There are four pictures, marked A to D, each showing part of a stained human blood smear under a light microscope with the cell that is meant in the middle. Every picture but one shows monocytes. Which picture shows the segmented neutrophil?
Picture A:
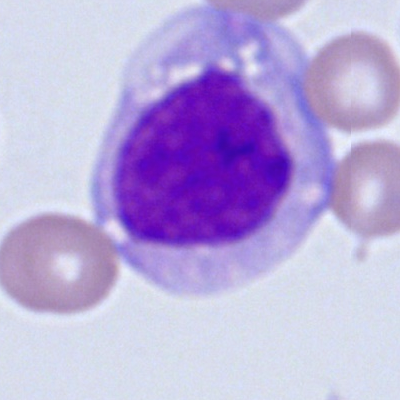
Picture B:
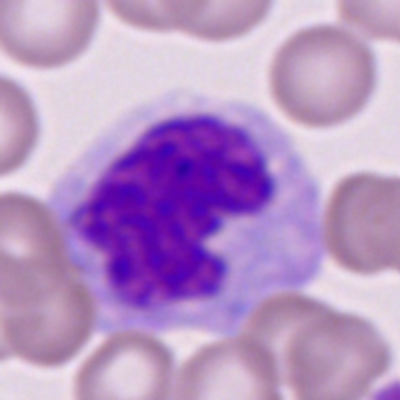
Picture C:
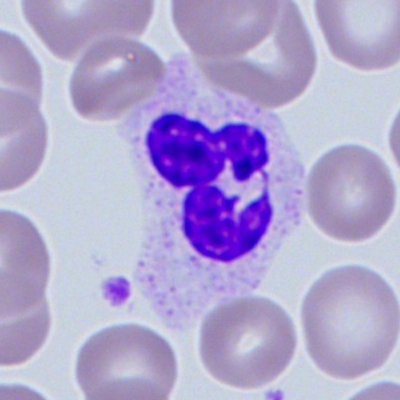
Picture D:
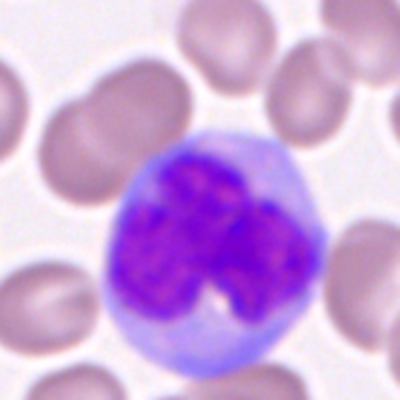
C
